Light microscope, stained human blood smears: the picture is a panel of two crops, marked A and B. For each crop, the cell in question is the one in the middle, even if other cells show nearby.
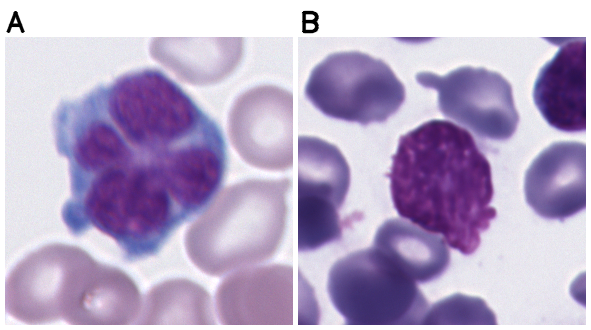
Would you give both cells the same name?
no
